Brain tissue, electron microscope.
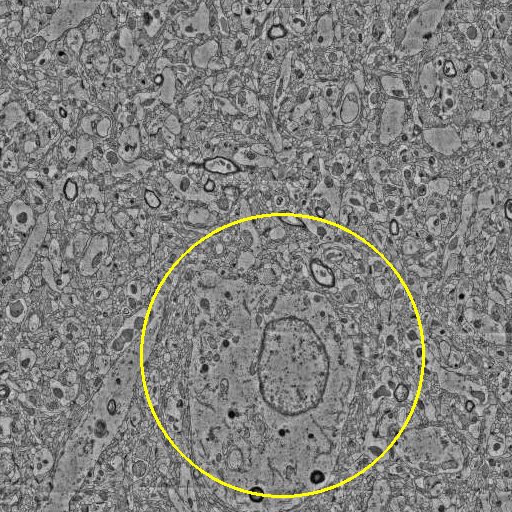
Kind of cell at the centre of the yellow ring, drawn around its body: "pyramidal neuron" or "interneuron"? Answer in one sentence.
The ring's centre falls on a pyramidal neuron.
